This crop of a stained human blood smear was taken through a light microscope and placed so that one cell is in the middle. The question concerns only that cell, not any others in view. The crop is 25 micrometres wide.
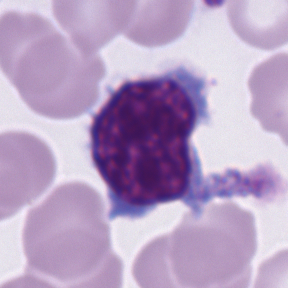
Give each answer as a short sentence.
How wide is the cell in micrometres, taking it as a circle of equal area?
The diameter of the cell comes to about 12 micrometres.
